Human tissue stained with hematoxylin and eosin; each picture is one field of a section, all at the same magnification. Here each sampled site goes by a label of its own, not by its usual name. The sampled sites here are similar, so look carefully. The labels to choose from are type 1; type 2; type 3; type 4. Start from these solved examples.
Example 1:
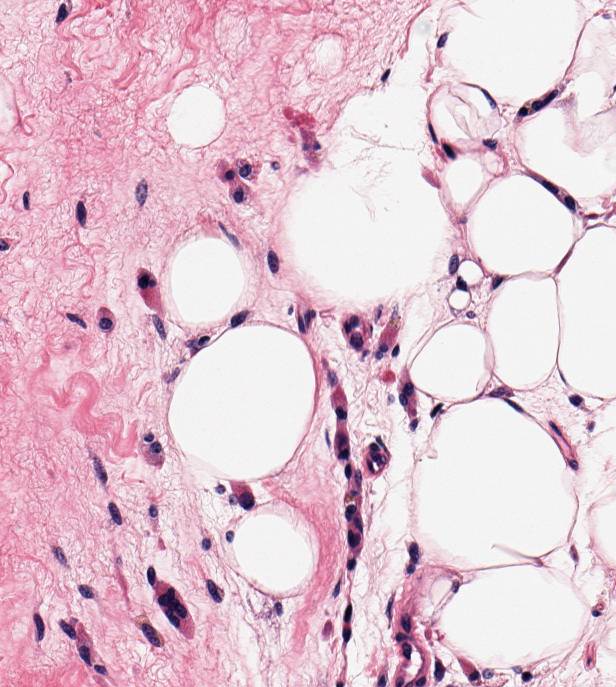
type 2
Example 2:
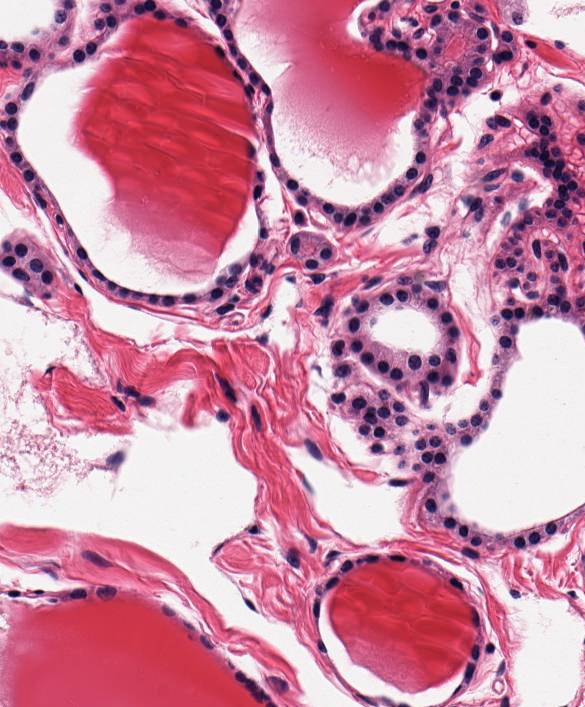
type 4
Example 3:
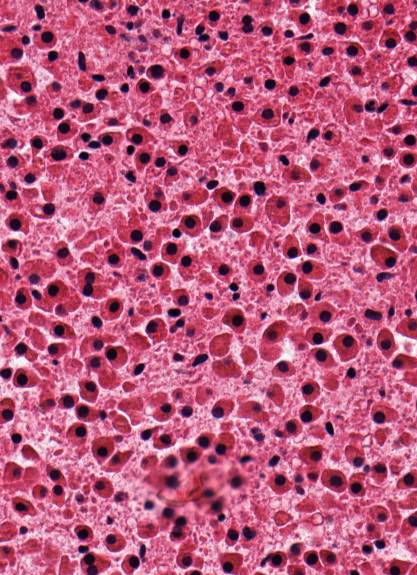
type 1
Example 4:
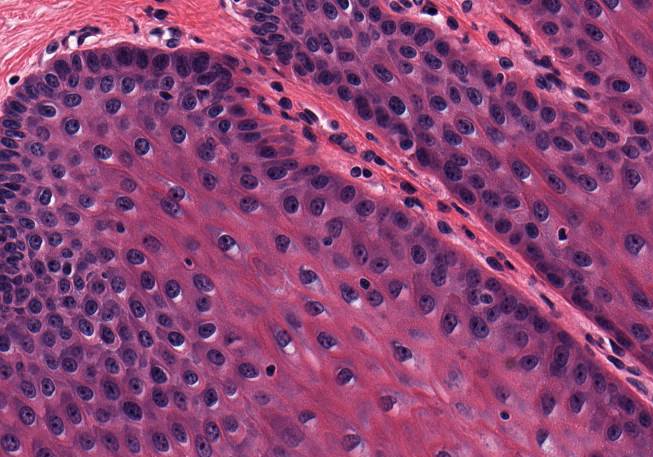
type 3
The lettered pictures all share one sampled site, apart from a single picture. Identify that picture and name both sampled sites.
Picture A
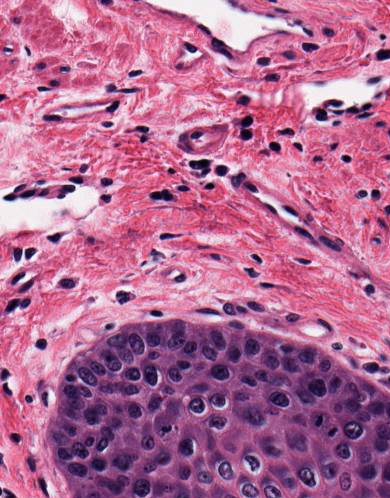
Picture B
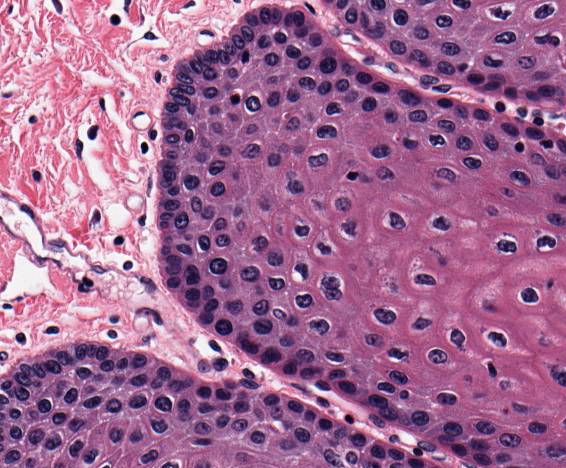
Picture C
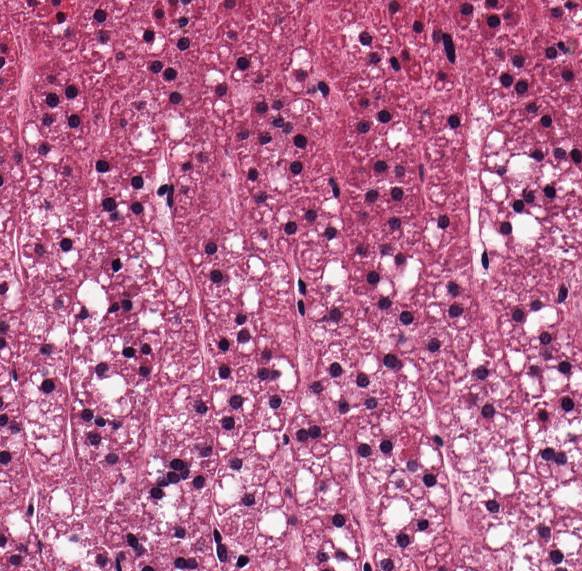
C differs and shows type 1; the others show type 3.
